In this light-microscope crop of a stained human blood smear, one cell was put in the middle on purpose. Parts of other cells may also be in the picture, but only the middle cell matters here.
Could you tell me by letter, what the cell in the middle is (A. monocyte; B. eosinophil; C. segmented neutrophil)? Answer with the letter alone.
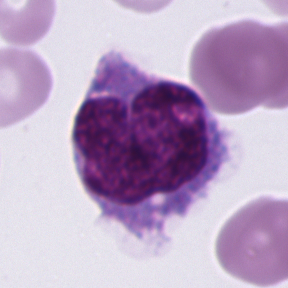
A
